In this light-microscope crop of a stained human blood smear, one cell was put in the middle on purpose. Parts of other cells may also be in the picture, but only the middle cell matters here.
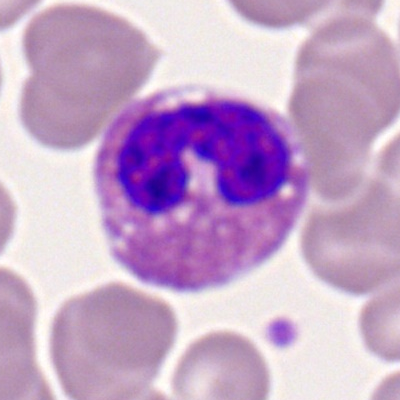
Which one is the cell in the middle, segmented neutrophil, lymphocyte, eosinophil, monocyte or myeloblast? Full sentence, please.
The cell that lies at the centre of the crop is an eosinophil.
